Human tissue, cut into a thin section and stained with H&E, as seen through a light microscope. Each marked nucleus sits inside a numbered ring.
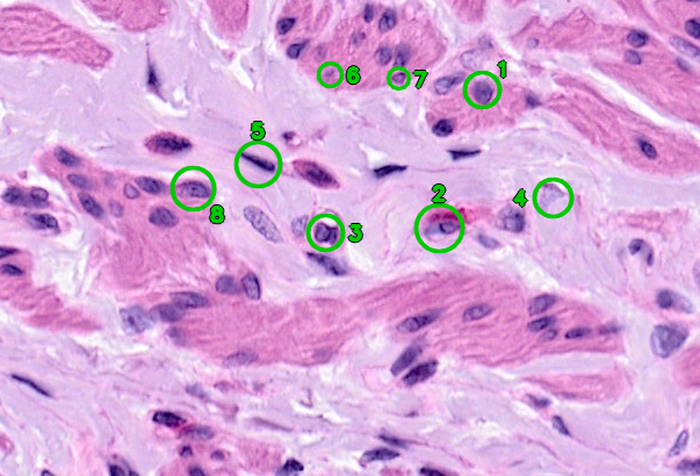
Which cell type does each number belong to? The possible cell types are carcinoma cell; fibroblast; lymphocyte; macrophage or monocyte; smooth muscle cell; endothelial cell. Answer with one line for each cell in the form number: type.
1: smooth muscle cell
2: endothelial cell
3: endothelial cell
4: fibroblast
5: fibroblast
6: smooth muscle cell
7: smooth muscle cell
8: smooth muscle cell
